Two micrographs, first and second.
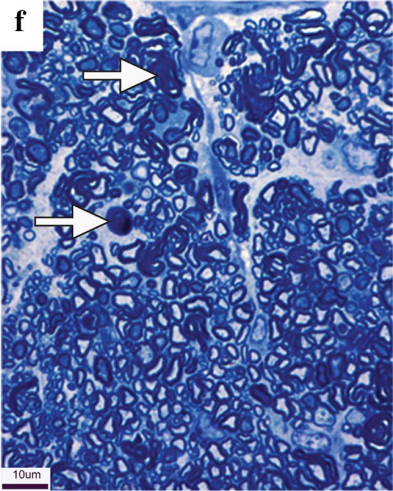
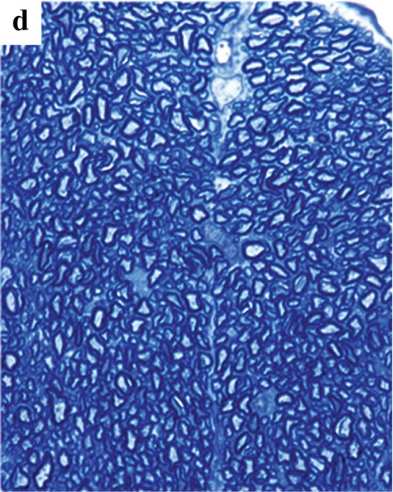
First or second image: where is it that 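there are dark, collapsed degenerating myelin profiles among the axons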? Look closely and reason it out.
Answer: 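First image: scattered solid dark blue bodies and collapsed irregular myelin rings lie among the fibres. Second image: the fibres are uniform, evenly packed rings of myelin with pale centres and no dark bodies.
Conclusion: the first image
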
